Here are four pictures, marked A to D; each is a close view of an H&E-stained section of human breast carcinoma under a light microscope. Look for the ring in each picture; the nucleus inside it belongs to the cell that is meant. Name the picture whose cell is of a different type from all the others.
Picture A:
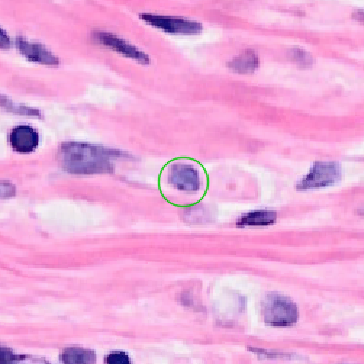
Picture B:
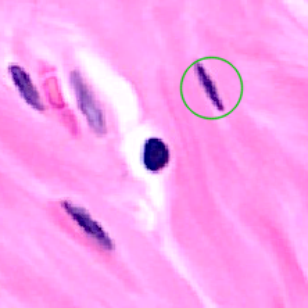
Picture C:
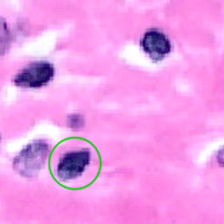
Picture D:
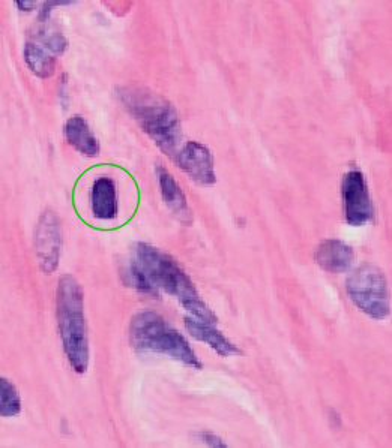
B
